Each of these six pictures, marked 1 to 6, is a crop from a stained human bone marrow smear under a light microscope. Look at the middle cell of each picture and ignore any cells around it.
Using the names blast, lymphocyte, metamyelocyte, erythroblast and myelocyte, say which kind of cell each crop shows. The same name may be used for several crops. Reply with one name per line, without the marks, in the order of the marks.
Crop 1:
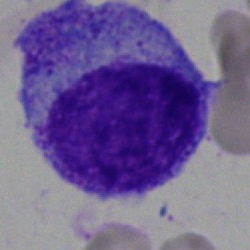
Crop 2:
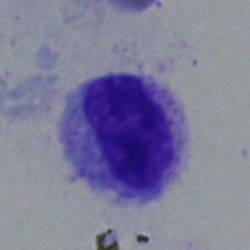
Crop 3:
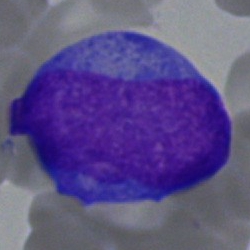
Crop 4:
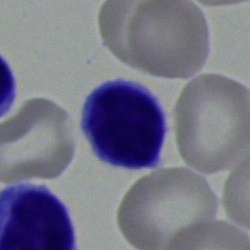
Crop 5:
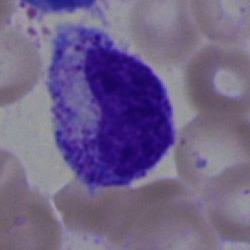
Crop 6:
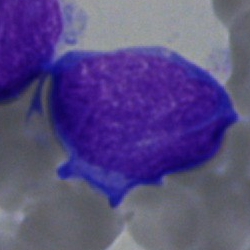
myelocyte
metamyelocyte
blast
lymphocyte
metamyelocyte
blast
